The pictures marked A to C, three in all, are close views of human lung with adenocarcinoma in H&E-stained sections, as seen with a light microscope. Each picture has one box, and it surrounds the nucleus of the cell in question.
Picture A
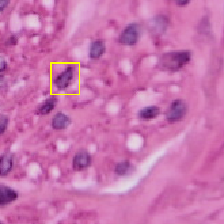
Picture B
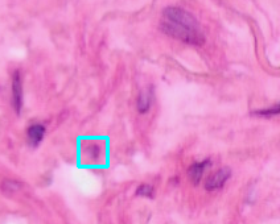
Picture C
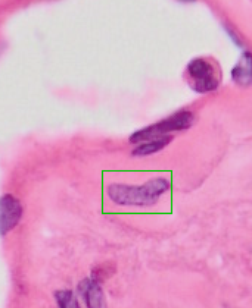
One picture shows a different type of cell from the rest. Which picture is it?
C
